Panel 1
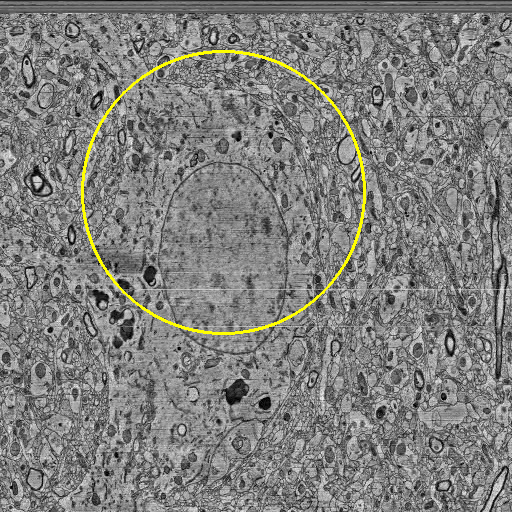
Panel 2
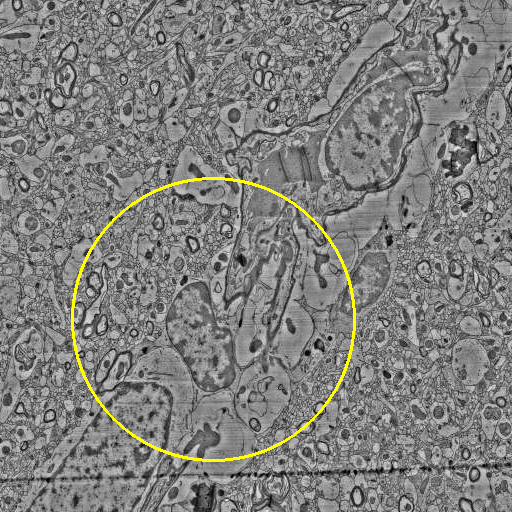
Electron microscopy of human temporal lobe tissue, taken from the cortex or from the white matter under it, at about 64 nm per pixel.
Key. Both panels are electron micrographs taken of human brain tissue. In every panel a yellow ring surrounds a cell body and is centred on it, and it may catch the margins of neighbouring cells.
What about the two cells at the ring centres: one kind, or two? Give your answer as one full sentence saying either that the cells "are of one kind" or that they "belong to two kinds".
Across Panels 1 and 2, the two cells at the ring centres belong to two kinds.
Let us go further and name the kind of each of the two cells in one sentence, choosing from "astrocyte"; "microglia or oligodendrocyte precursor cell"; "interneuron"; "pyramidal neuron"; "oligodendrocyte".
The ring of the first picture is on a pyramidal neuron, the ring of the second on a microglial cell or oligodendrocyte precursor cell.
